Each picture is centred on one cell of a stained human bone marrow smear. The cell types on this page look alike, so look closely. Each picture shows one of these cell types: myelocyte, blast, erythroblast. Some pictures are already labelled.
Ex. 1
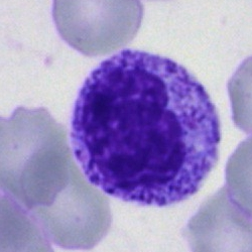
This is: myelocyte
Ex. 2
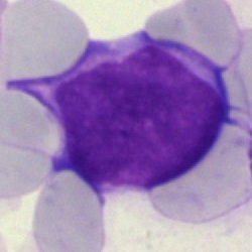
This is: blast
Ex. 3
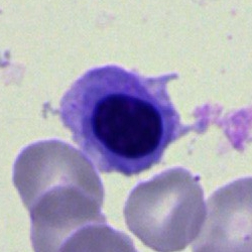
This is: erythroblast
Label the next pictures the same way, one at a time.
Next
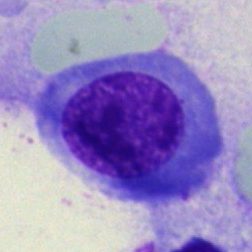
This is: erythroblast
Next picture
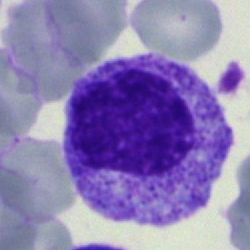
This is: myelocyte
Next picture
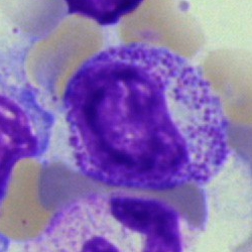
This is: myelocyte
